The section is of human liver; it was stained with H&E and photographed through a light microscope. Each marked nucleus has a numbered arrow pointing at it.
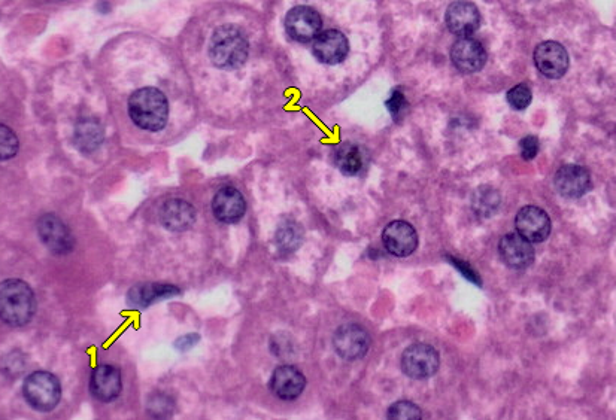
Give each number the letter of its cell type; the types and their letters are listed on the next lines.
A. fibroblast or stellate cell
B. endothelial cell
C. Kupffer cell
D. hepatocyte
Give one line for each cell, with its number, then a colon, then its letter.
1: B
2: D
